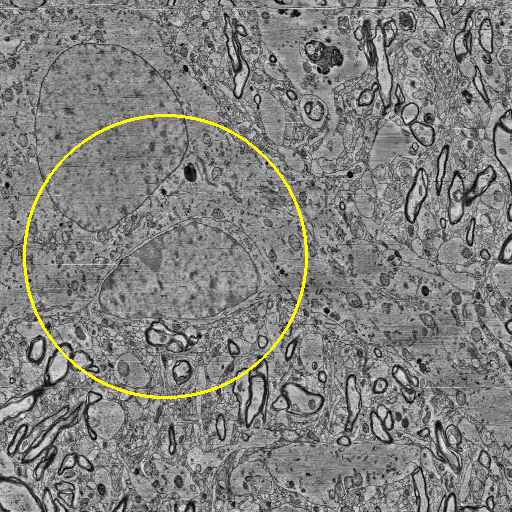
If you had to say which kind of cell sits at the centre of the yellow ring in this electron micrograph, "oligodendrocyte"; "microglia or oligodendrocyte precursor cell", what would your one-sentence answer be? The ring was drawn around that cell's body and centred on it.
The cell sitting at the centre of the ring is a microglial cell or oligodendrocyte precursor cell.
